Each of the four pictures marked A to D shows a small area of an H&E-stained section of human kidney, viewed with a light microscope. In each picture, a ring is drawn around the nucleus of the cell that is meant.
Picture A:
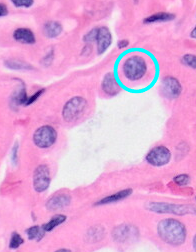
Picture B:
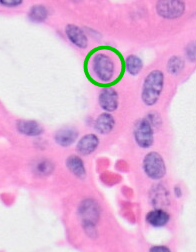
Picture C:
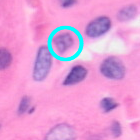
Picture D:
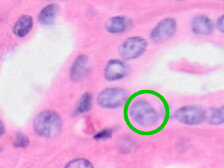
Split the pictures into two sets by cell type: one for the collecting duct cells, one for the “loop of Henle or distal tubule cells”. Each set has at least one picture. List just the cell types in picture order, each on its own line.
loop of Henle or distal tubule cell
collecting duct cell
collecting duct cell
collecting duct cell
